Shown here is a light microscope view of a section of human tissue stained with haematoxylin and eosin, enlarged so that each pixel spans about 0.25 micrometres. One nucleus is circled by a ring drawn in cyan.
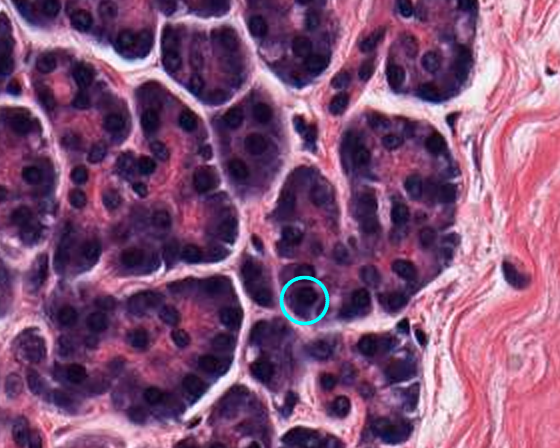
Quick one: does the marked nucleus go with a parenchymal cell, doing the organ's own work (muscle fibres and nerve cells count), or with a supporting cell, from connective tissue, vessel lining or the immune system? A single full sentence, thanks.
The marked nucleus is part of the parenchyma, belonging to a pancreatic acinar cell.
